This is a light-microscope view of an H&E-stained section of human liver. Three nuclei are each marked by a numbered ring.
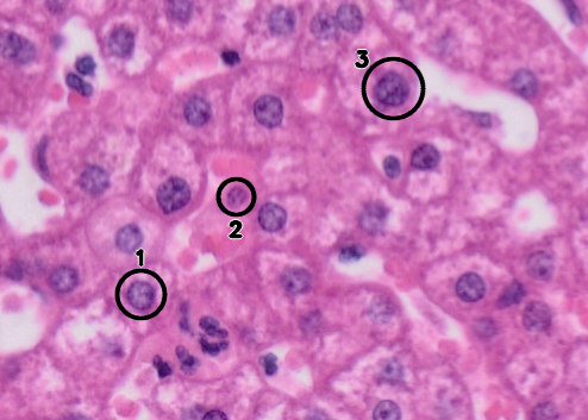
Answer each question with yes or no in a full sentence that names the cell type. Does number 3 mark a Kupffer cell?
No, cell number 3 is a hepatocyte; it is not a Kupffer cell.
